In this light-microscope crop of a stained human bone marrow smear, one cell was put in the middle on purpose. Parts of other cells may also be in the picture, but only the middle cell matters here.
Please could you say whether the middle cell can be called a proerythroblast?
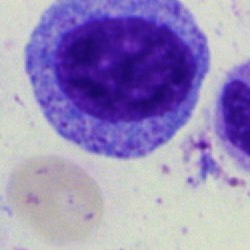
no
